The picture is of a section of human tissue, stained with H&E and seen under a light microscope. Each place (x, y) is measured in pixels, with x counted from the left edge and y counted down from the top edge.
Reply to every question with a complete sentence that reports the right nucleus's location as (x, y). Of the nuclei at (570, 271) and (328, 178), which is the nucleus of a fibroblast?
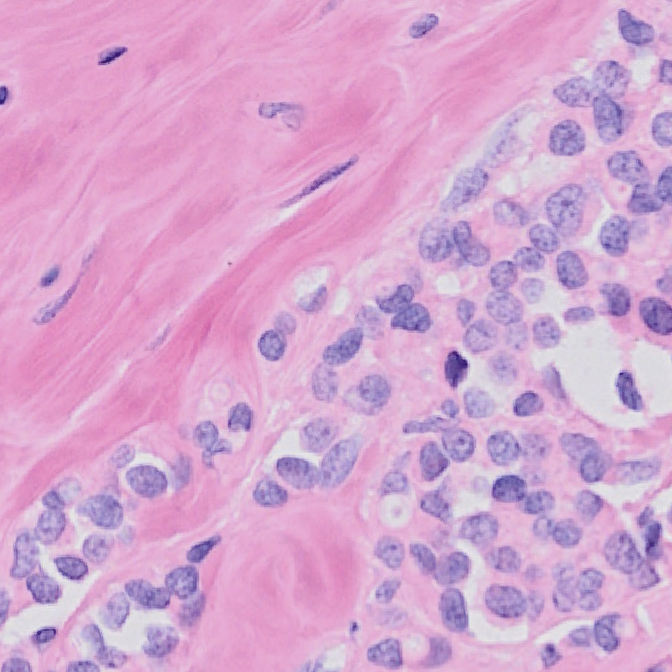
Answering which nucleus it is: the one at (328, 178), belonging to a fibroblast.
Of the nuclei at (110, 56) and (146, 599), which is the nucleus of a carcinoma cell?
The nucleus that belongs to a carcinoma cell sits at (146, 599).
